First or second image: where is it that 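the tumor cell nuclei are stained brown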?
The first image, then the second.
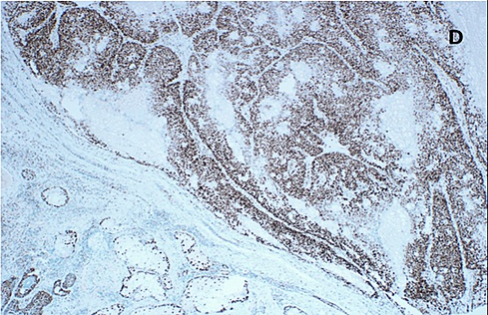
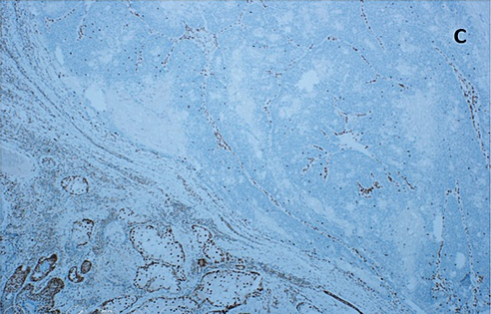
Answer: The first image.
